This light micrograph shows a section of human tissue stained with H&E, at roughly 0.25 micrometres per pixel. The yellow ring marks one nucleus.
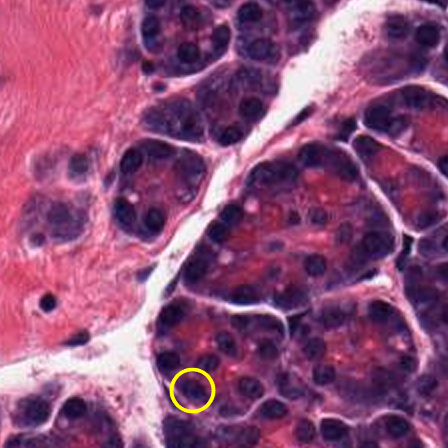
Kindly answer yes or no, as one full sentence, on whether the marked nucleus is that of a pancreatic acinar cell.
Yes, the marked nucleus is housed in a pancreatic acinar cell.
